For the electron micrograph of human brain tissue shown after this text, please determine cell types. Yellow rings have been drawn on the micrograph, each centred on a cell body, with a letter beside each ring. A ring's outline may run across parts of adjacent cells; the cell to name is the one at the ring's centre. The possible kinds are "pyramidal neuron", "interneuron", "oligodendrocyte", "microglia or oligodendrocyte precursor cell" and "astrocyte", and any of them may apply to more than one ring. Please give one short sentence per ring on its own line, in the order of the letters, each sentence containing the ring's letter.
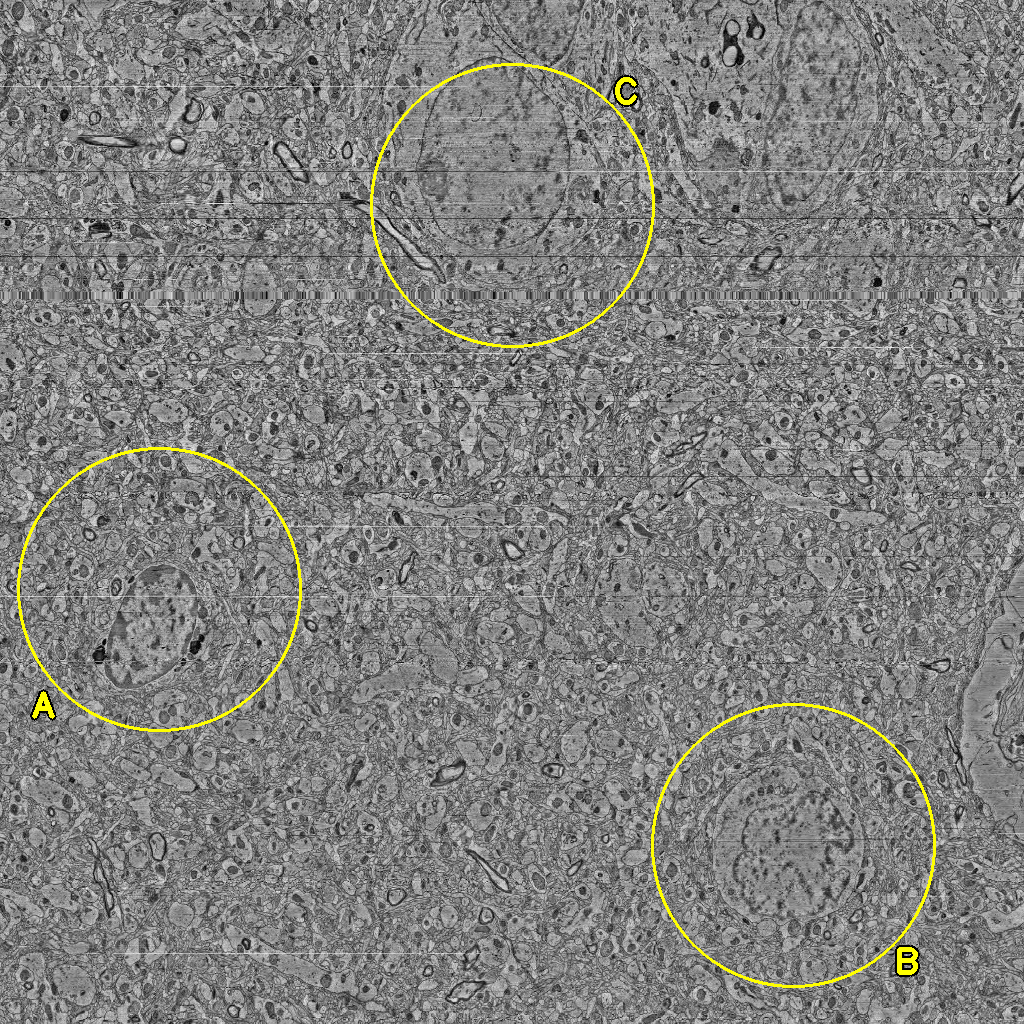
Ring A is set around a microglial cell or oligodendrocyte precursor cell.
Ring B is set around an interneuron.
Ring C is set around a pyramidal neuron.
